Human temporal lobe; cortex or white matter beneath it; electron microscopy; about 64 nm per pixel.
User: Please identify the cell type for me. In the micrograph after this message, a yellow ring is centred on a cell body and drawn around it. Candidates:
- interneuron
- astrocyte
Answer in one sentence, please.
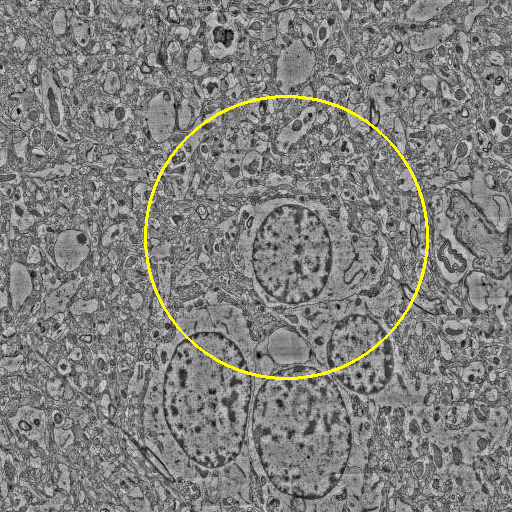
The ring is drawn around the cell body of an astrocyte.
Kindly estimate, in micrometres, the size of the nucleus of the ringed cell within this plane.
In this plane, the nucleus is roughly 6 by 5 micrometres.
